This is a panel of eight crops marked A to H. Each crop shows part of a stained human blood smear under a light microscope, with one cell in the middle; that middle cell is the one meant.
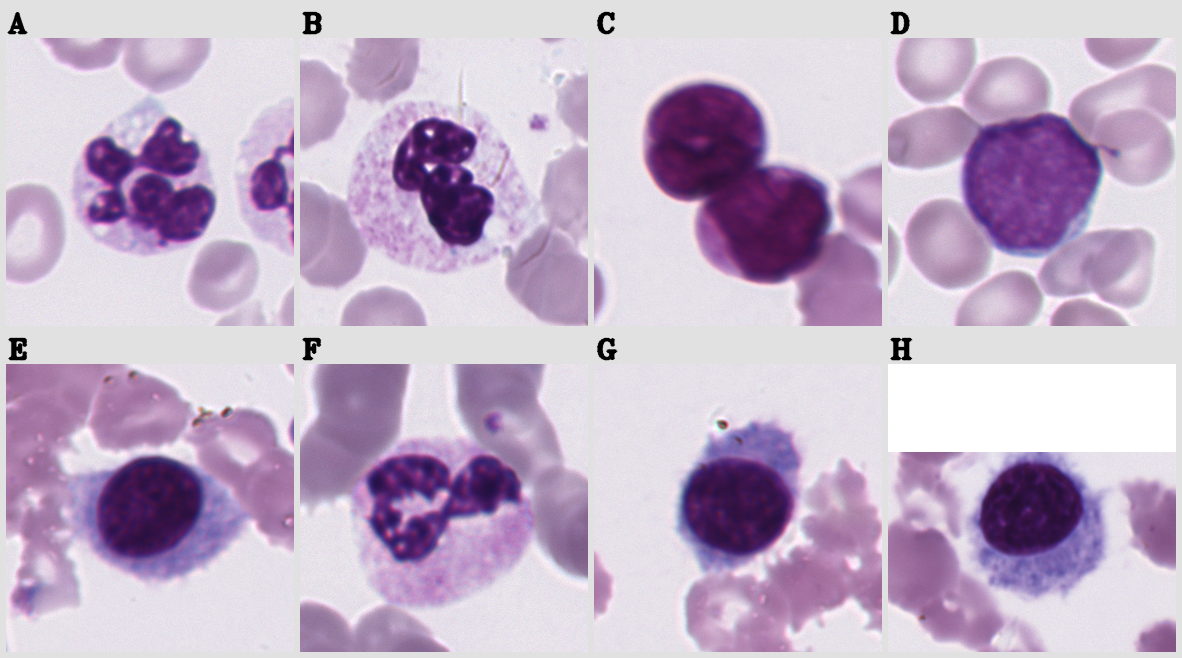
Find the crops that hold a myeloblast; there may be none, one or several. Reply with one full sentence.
In crops C and D, the central cells are myeloblasts.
